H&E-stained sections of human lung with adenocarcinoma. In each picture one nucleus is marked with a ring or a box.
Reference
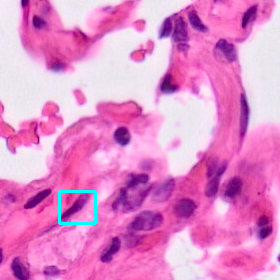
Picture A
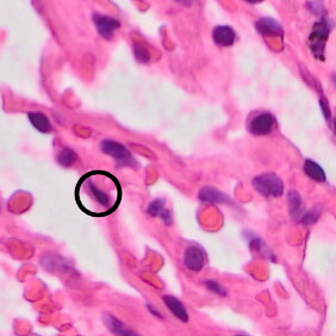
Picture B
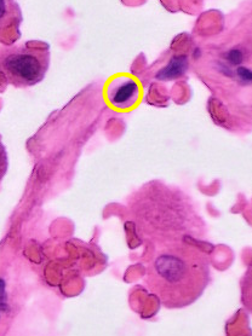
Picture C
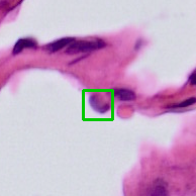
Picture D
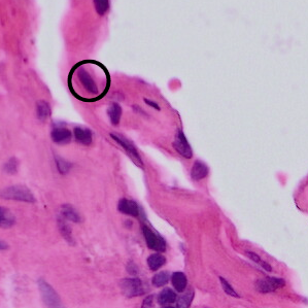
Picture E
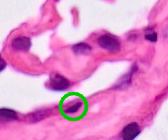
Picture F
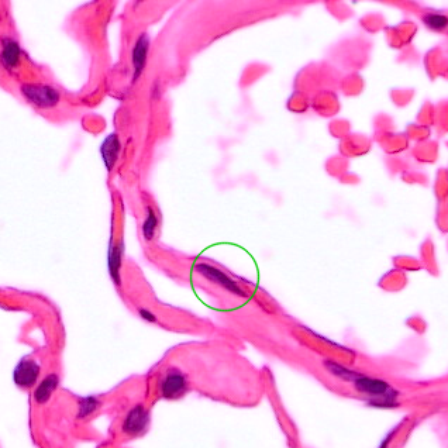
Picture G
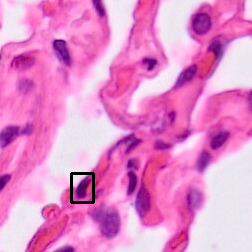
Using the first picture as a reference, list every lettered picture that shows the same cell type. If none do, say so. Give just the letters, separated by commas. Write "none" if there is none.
A, B, D, E, F, G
